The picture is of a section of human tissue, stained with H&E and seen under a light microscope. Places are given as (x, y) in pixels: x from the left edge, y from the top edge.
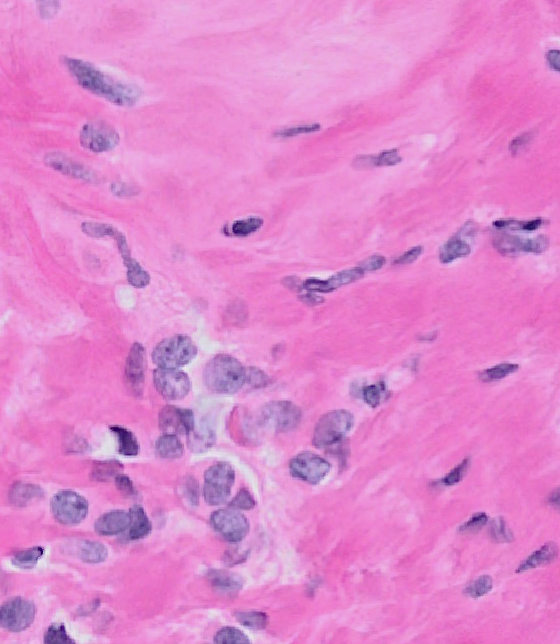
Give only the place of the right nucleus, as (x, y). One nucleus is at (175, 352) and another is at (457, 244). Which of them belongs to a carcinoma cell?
(175, 352)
